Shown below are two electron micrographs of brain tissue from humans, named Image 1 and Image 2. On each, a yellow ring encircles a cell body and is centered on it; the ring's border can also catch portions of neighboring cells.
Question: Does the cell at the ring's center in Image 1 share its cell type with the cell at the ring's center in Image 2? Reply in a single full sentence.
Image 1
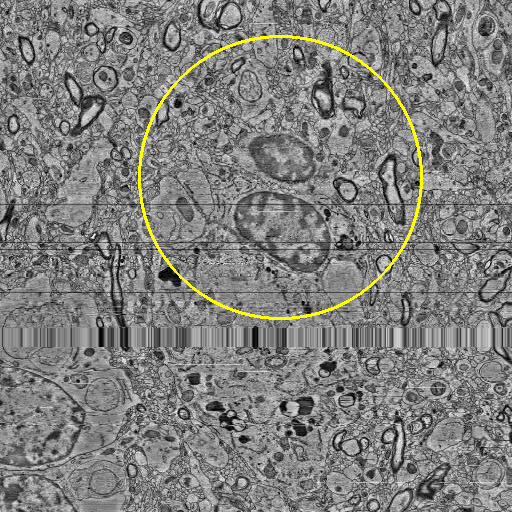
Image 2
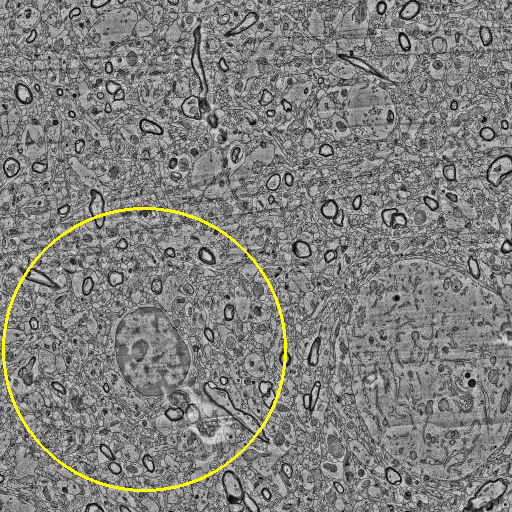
No, the two cells at the ring centers, in Image 1 and Image 2, are of two cell types.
